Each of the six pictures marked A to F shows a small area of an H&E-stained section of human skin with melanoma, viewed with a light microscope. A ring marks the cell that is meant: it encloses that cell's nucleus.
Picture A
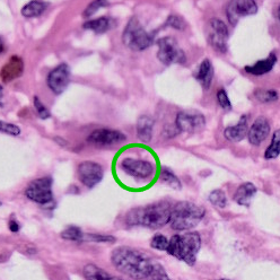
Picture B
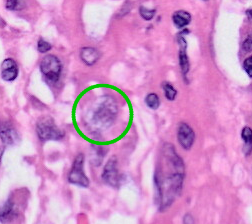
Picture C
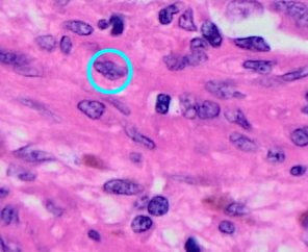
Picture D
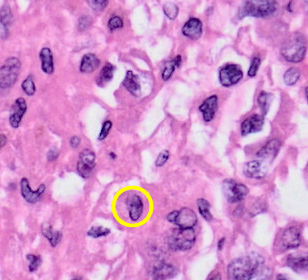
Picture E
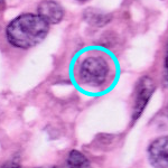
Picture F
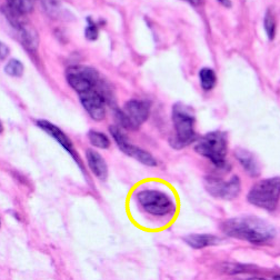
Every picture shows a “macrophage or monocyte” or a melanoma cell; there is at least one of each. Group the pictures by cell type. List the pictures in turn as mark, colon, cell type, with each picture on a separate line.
A: macrophage or monocyte
B: melanoma cell
C: macrophage or monocyte
D: macrophage or monocyte
E: melanoma cell
F: macrophage or monocyte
